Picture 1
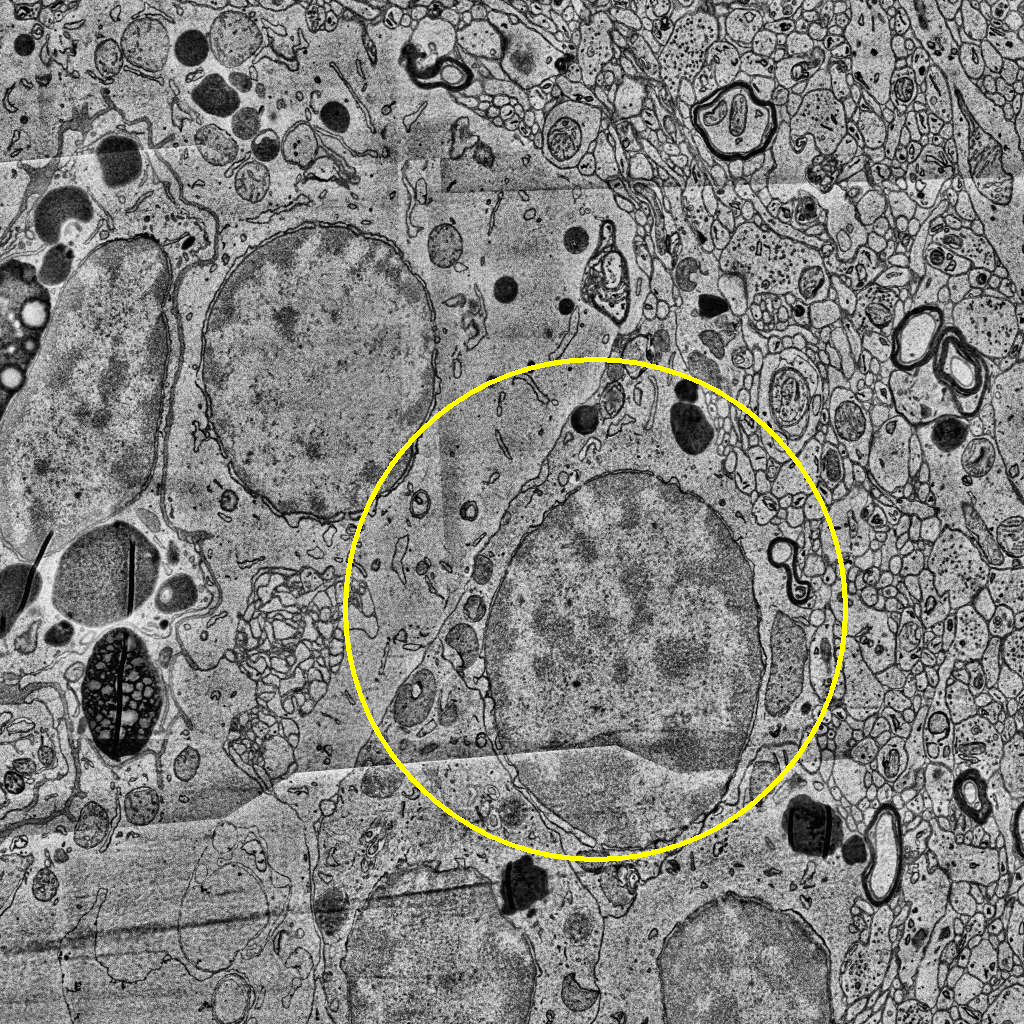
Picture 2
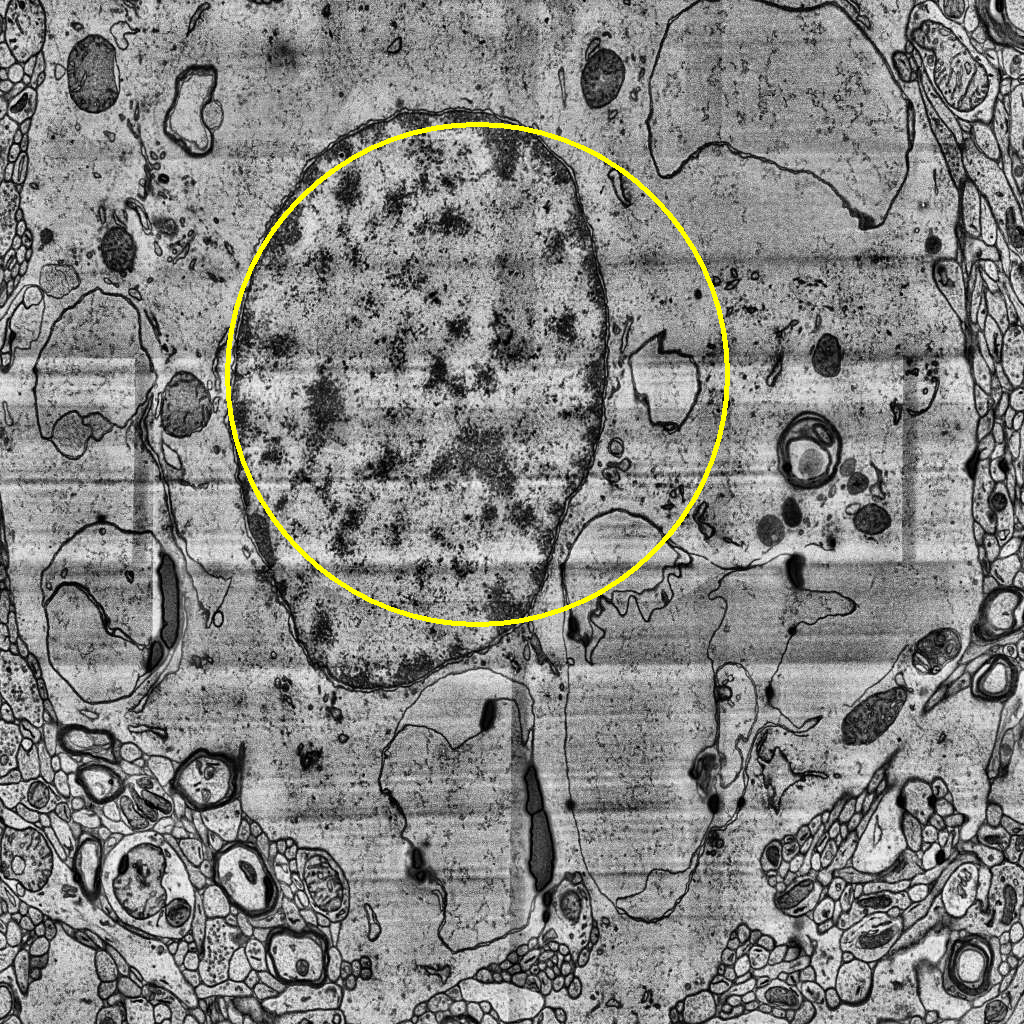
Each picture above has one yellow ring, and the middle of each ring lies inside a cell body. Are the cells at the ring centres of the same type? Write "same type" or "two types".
two types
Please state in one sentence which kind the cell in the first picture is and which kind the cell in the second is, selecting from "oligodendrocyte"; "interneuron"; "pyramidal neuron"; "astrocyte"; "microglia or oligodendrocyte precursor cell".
The first ring marks an oligodendrocyte, and the second ring marks an astrocyte.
